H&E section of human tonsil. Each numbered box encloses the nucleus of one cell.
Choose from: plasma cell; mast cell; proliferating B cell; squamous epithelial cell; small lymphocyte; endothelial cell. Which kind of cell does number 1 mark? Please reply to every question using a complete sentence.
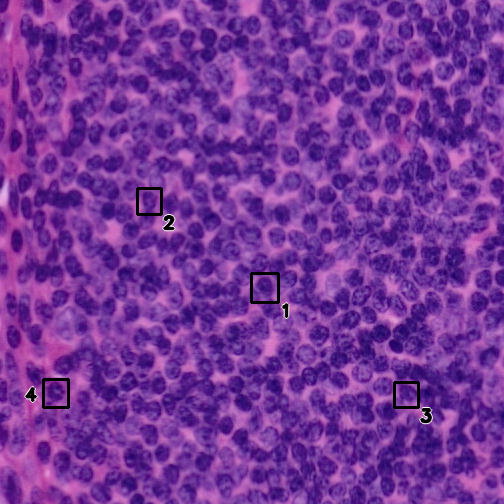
The cell referenced by the number 1 is a small lymphocyte in this field.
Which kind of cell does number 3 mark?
The numbered cell 3 in this field is a small lymphocyte.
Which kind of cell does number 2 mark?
Classified as a small lymphocyte is the cell with the number 2.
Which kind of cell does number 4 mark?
The numbered cell 4 in this field is a plasma cell.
